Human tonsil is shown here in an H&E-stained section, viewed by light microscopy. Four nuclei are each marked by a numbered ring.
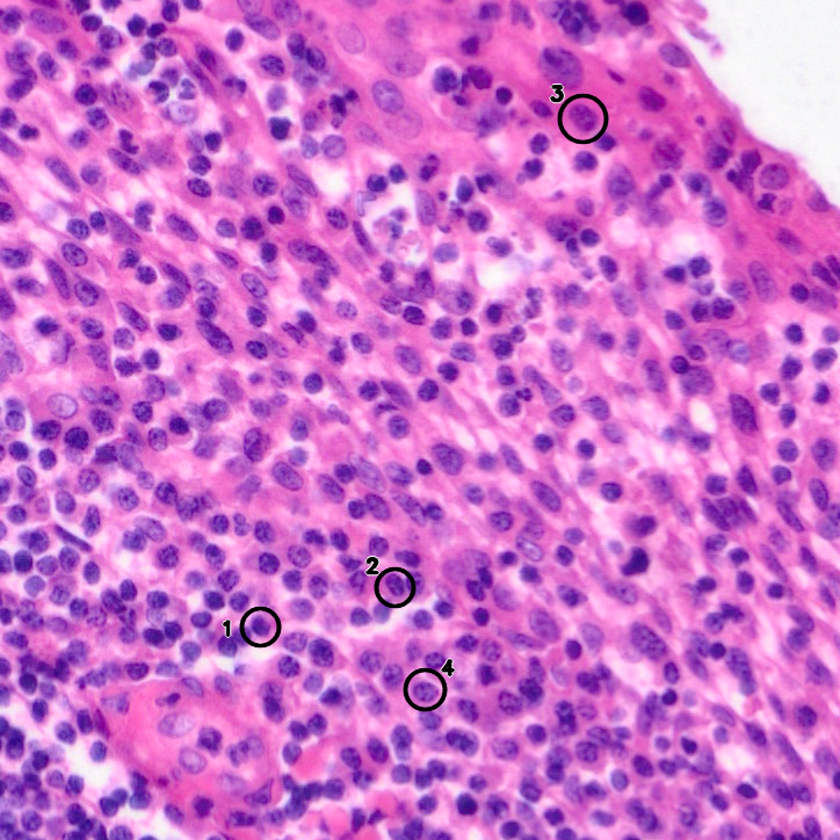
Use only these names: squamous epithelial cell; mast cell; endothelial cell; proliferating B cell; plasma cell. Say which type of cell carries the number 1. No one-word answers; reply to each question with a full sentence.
Of the numbered cells, the one labelled 1 is a plasma cell.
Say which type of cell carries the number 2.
Cell 2 in the field is a plasma cell.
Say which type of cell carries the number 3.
The one numbered 3 among the marked cells is a squamous epithelial cell.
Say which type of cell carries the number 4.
Numbered cell 4 is a plasma cell in this tissue section.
